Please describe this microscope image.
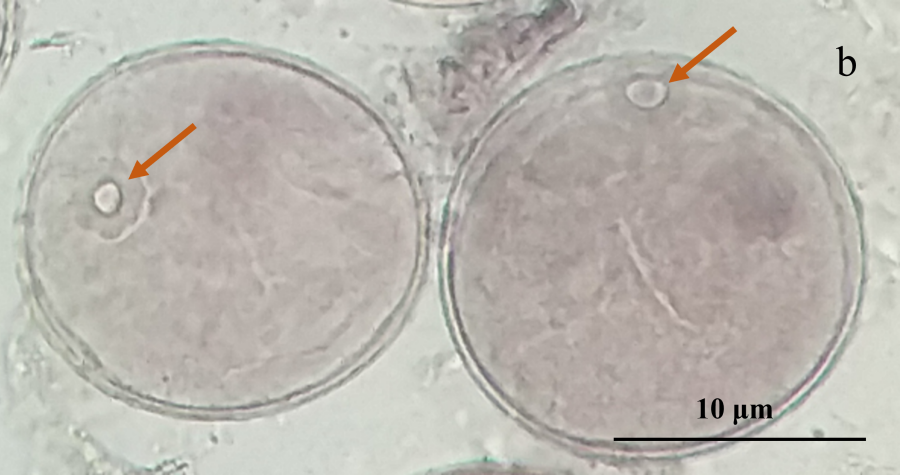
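The contents are pale purple and finely granular, with faint thread-like streaks and a slightly darker patch in one cell. Some pale debris lies in the background between the cells.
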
